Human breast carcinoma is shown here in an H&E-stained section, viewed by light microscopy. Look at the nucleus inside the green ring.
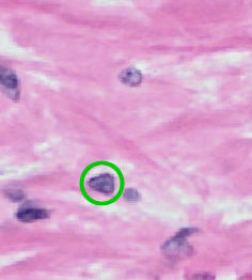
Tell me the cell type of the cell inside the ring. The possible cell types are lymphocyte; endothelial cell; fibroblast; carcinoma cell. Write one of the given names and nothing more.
lymphocyte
